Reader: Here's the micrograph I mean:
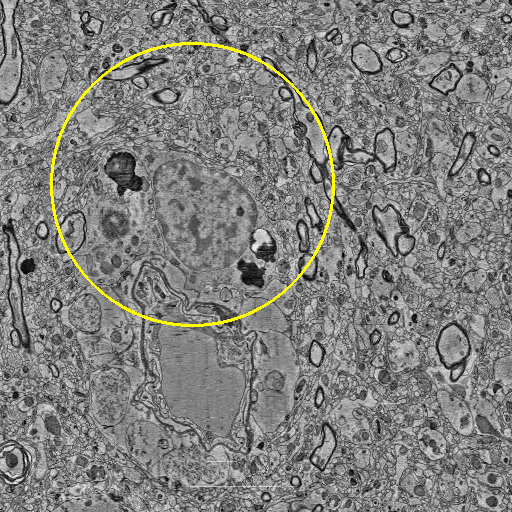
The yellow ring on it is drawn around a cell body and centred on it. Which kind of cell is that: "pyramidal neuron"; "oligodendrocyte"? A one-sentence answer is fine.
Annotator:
The ring is centred on an oligodendrocyte.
